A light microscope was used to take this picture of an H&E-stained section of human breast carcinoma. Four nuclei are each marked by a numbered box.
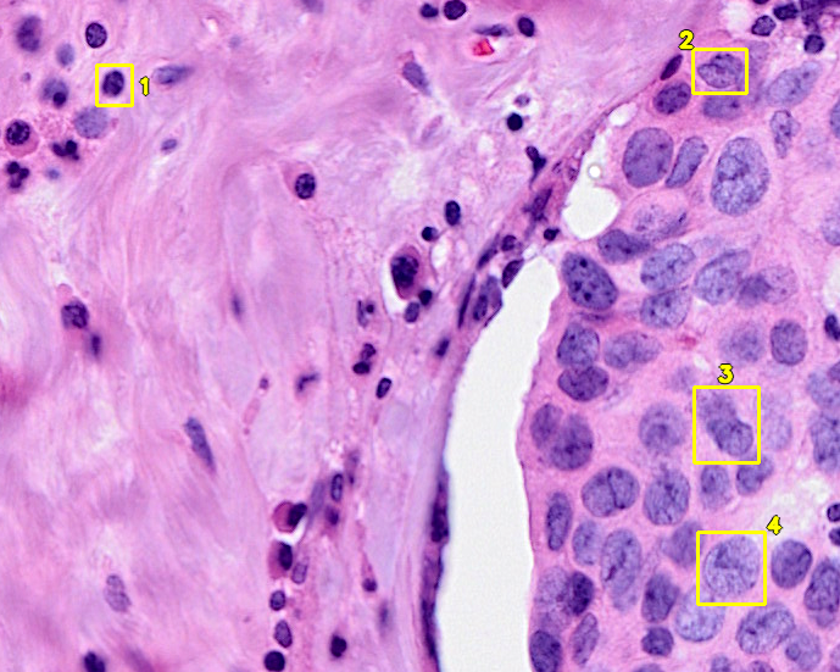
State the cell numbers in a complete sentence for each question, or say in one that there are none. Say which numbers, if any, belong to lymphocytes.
Cell 1 is a lymphocyte, which is true of none of the other numbered cells.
